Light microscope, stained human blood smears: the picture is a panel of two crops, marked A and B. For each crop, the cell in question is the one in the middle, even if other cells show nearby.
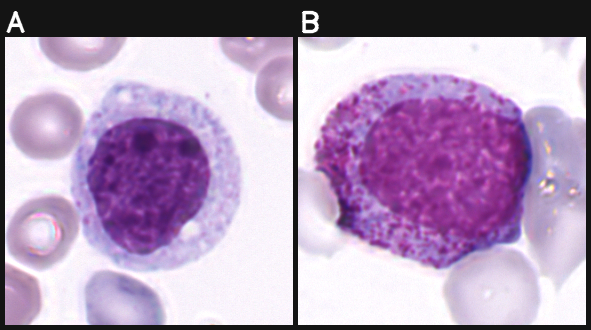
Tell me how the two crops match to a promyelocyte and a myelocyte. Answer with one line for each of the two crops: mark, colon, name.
A: myelocyte
B: promyelocyte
